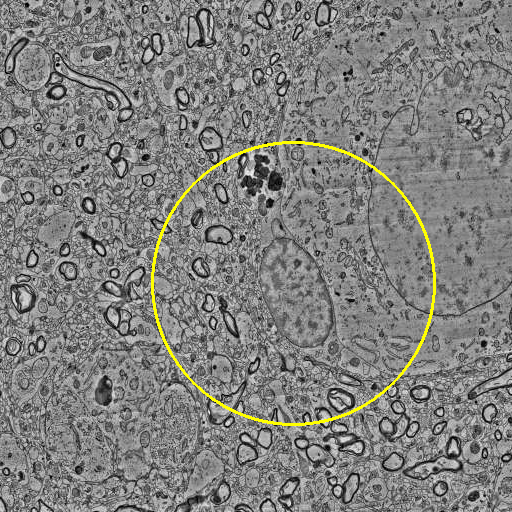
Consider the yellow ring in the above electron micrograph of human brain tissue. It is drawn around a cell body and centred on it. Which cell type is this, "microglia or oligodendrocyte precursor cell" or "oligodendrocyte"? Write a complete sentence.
The cell in question is an oligodendrocyte.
